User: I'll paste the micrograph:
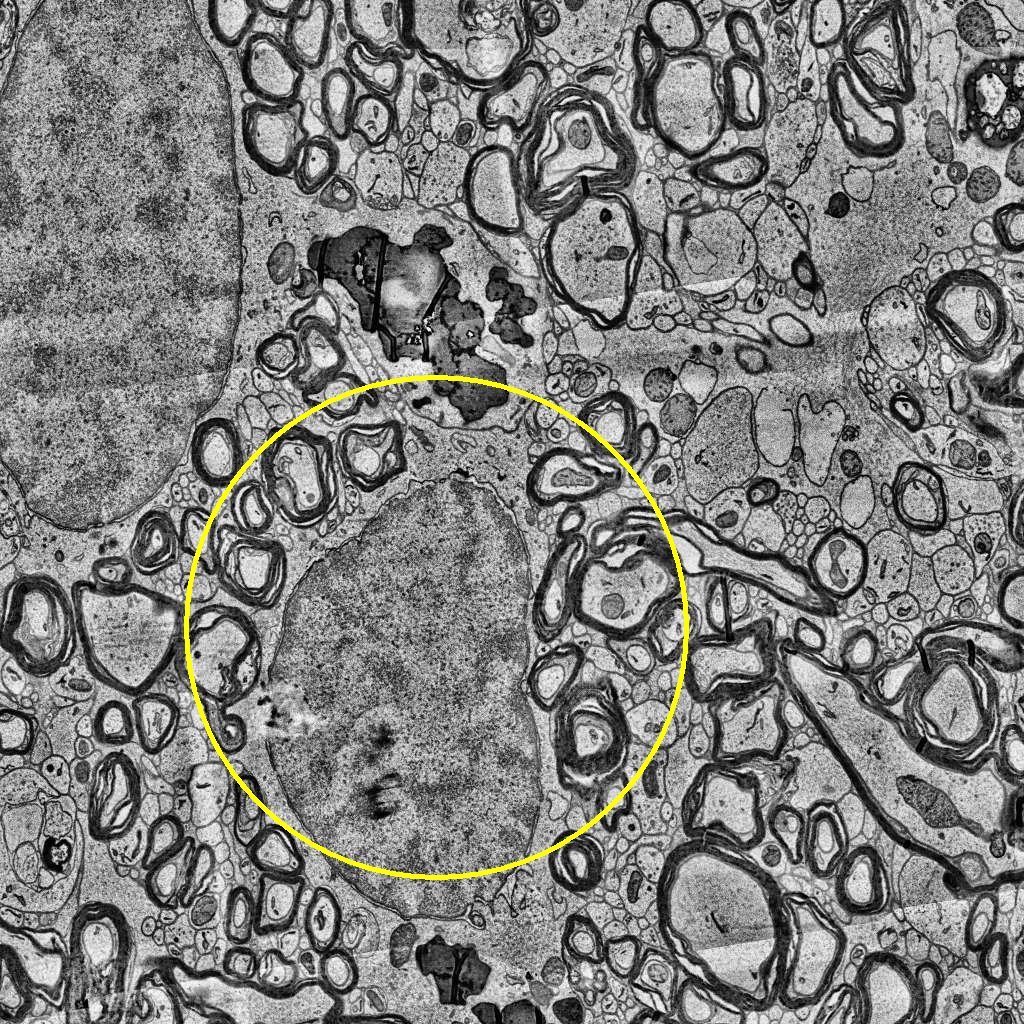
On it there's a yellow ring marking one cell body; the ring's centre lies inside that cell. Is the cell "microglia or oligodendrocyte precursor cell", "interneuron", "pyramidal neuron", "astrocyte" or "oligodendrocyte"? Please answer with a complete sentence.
The cell at the centre of the yellow ring is an oligodendrocyte.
